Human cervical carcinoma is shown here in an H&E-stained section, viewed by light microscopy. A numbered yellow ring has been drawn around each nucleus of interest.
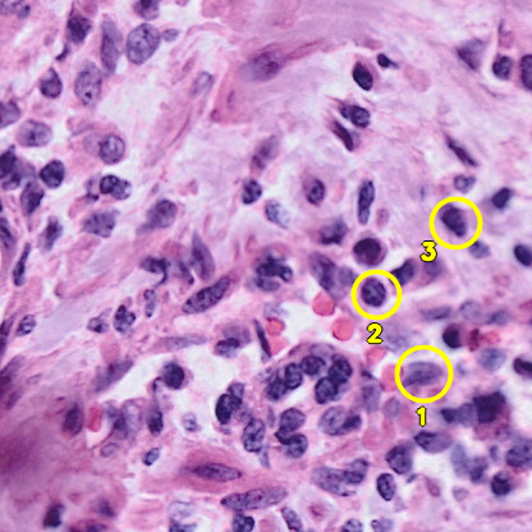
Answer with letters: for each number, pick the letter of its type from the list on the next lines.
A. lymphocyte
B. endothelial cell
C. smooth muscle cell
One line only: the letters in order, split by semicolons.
B; A; A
